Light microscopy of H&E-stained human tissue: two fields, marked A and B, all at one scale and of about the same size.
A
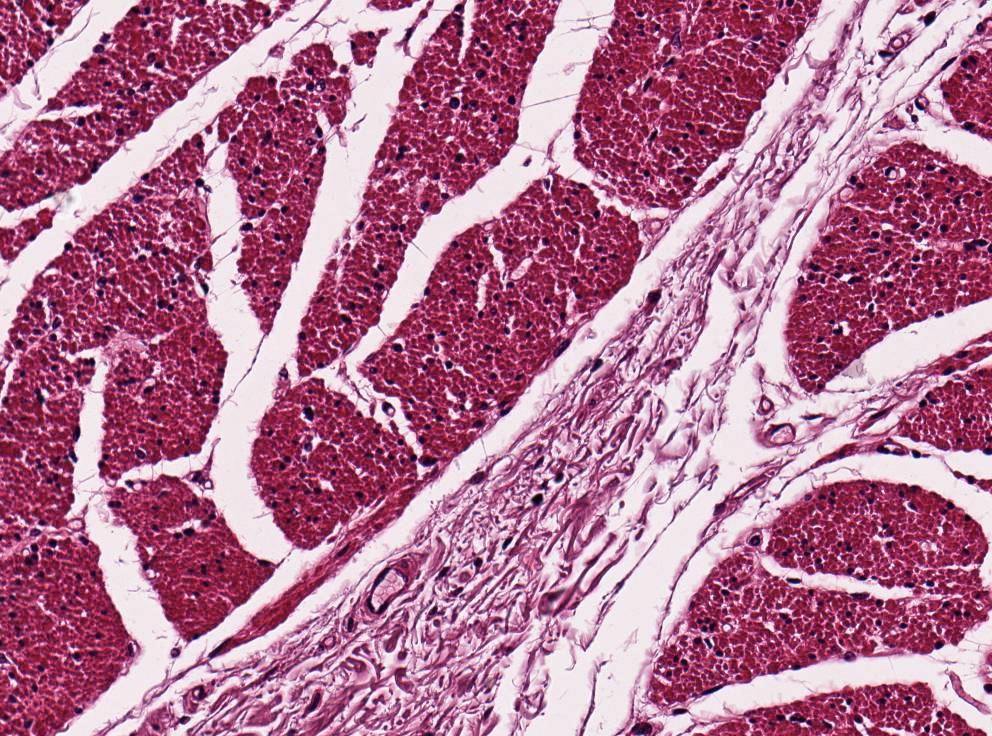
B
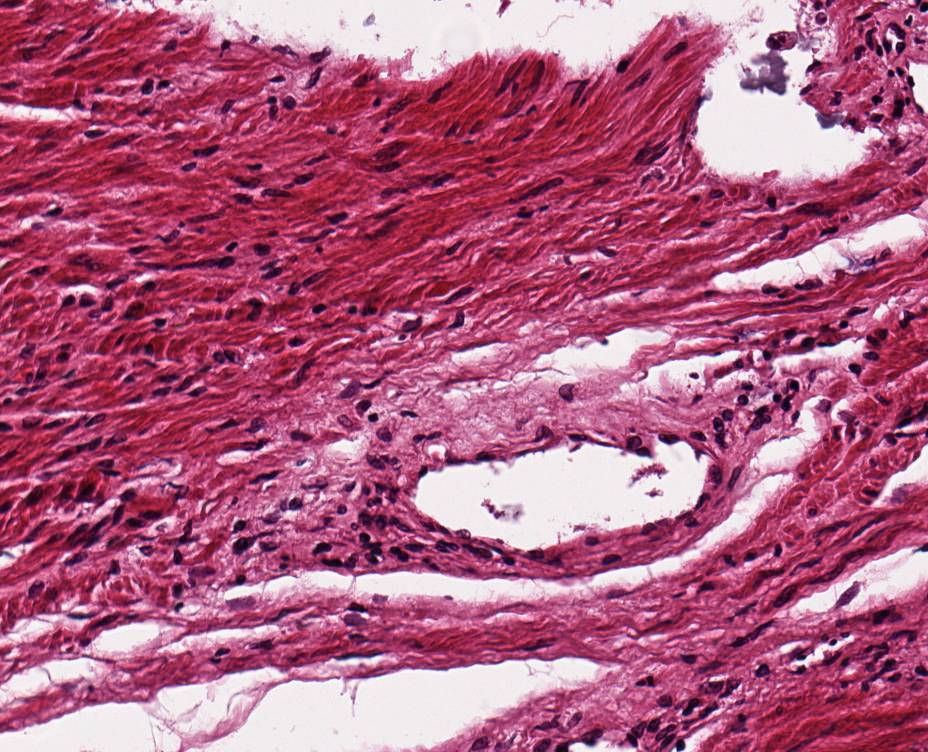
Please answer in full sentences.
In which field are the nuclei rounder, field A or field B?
On the whole the nuclei of field A are rounder than those of field B.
